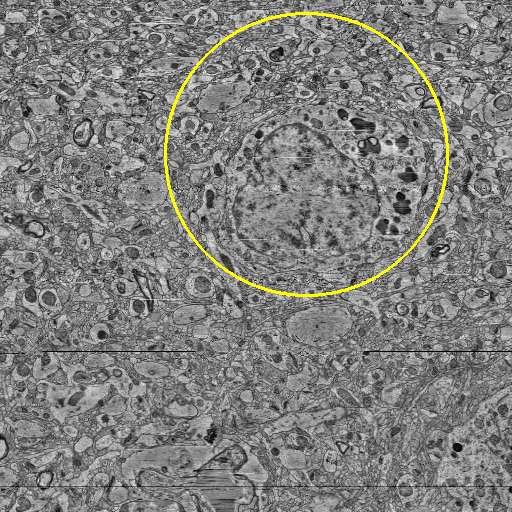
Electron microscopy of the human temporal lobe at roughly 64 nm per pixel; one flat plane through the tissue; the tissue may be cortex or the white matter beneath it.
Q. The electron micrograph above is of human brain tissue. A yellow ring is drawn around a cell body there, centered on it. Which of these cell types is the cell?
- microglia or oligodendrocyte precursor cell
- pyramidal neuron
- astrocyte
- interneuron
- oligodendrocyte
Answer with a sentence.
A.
The cell under the ring's center is an interneuron.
